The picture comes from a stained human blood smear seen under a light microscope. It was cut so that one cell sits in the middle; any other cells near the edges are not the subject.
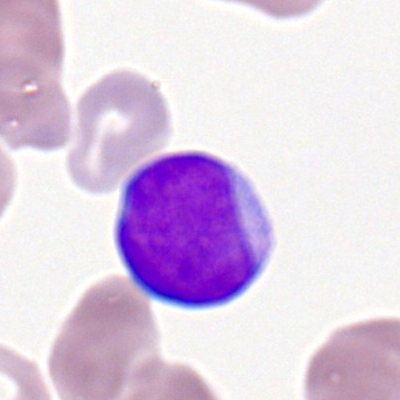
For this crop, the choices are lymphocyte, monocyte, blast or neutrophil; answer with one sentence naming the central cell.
In the middle of this smear crop is a blast.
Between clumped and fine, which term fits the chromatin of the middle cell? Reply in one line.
The key point is fine chromatin with no coarse clumps.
